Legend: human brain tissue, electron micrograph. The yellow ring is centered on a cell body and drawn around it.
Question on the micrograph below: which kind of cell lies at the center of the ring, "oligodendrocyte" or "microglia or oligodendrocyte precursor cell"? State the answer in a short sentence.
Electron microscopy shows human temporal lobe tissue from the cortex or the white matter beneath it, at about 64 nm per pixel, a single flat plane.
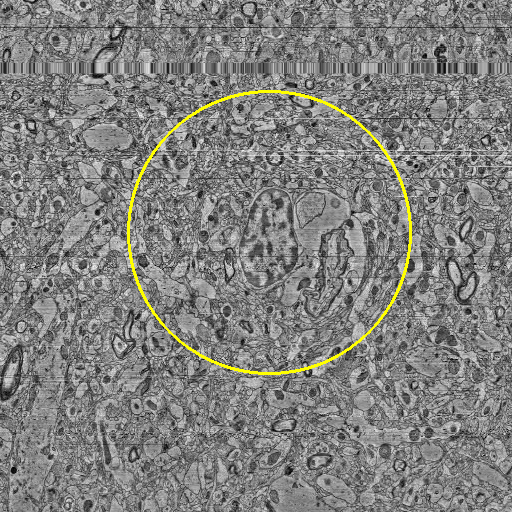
At the center of the ring lies a microglial cell or oligodendrocyte precursor cell.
